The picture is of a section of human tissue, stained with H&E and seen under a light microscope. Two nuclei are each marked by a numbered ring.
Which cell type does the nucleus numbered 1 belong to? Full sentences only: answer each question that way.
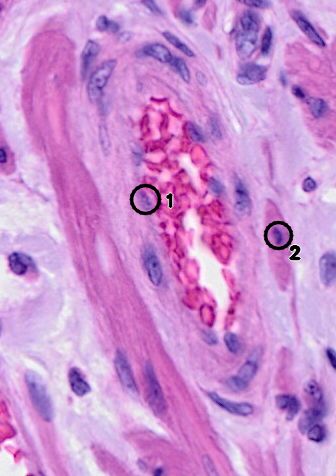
Cell 1, among those numbered, is an endothelial cell.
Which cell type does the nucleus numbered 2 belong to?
The nucleus with number 2 is that of a smooth muscle cell.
